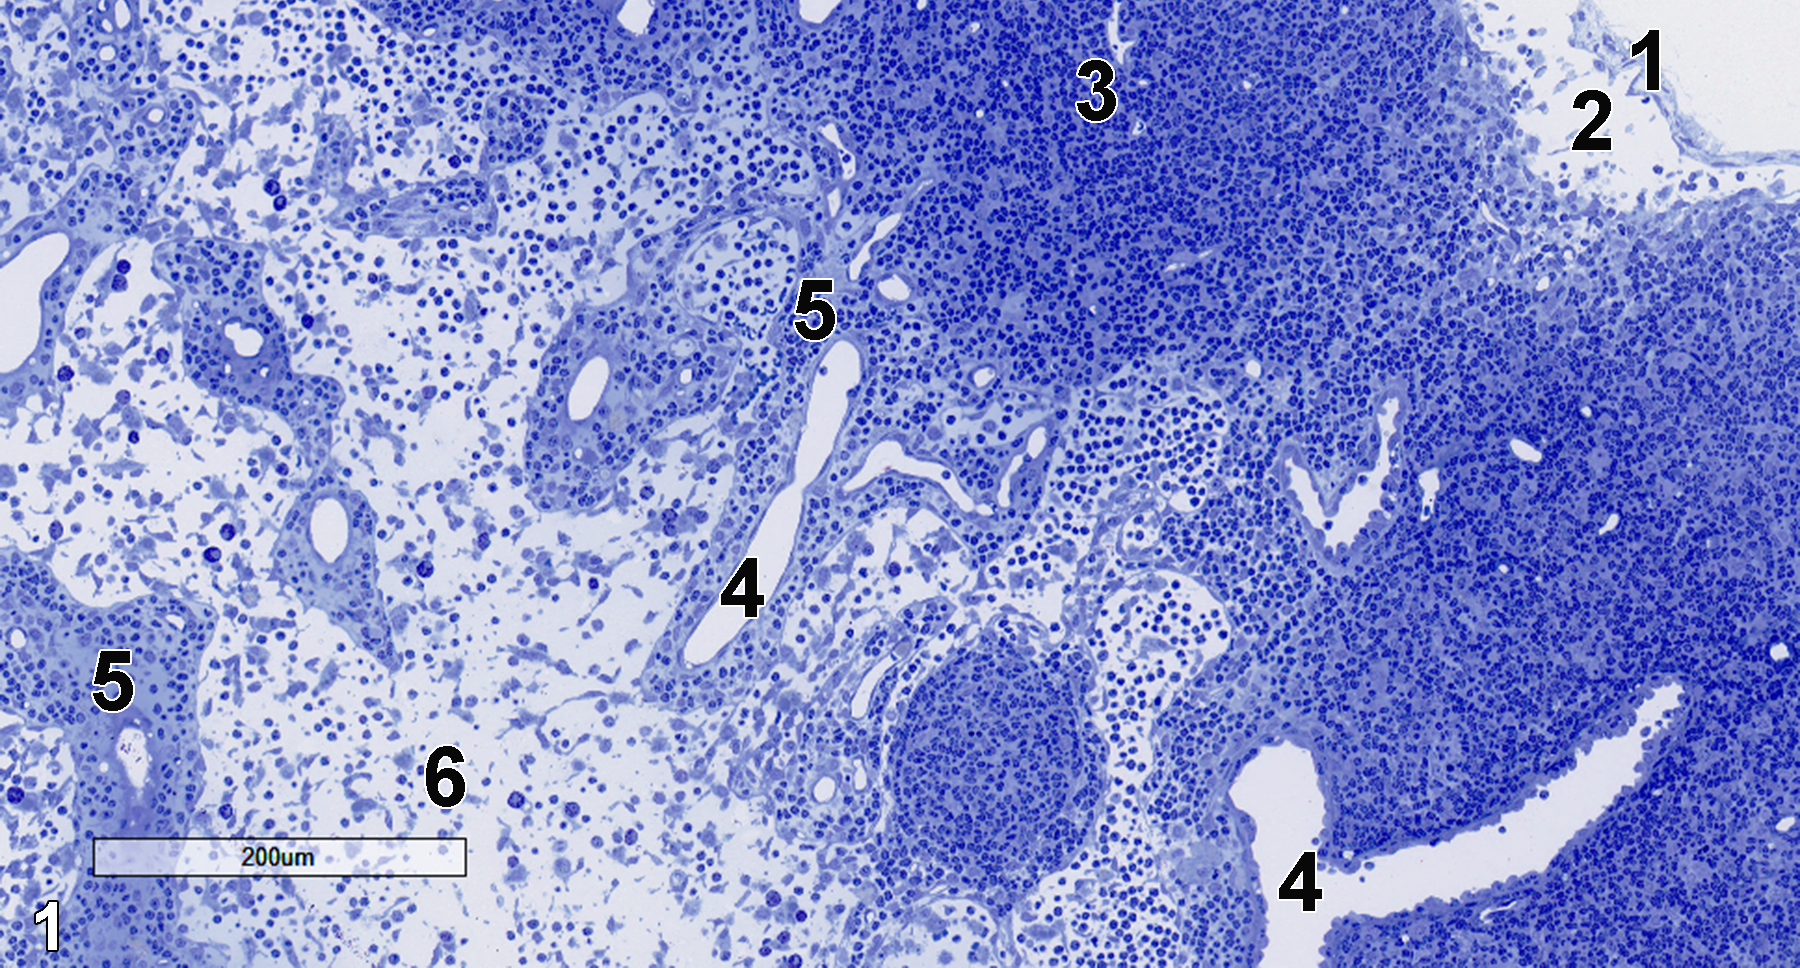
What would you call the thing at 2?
The number 2 marks the subcapsular sinus.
